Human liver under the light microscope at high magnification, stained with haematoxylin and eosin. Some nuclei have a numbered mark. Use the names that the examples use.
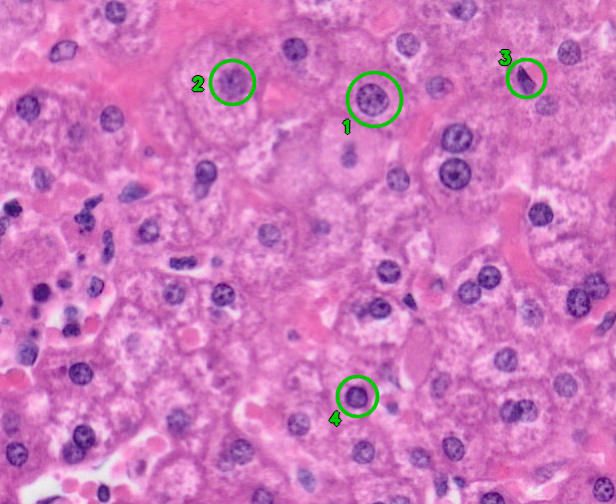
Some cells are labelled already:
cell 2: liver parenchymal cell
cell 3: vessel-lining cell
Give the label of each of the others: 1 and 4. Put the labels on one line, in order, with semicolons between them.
liver parenchymal cell; liver parenchymal cell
